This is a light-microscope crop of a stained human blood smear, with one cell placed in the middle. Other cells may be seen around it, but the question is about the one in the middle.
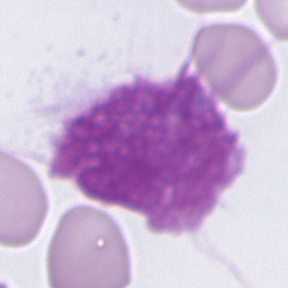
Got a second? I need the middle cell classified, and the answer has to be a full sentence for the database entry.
For this crop, the cell in the middle is a smudge cell.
